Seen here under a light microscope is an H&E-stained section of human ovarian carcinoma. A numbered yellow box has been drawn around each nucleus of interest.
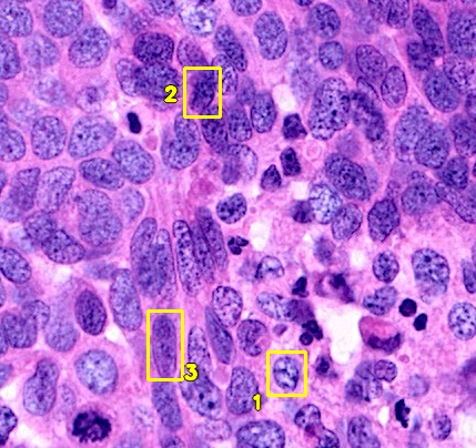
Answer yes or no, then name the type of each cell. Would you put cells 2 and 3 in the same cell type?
Yes, cells 2 and 3 both qualify as carcinoma cells.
